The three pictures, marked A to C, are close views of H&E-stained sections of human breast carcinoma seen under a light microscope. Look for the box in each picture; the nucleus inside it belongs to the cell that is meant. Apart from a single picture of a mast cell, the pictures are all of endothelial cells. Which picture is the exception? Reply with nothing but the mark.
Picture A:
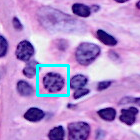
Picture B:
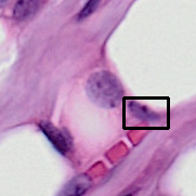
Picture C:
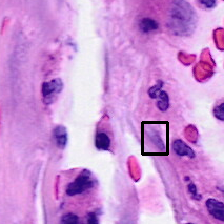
A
